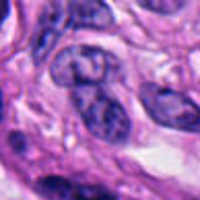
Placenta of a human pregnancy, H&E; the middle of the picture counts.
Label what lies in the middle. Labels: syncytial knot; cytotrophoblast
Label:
cytotrophoblast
